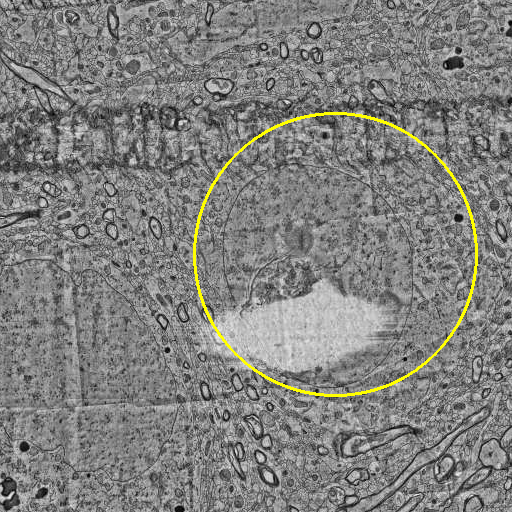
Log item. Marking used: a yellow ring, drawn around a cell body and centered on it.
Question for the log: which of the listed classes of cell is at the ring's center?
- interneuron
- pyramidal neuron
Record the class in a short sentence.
At the center of the ring lies a pyramidal neuron.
